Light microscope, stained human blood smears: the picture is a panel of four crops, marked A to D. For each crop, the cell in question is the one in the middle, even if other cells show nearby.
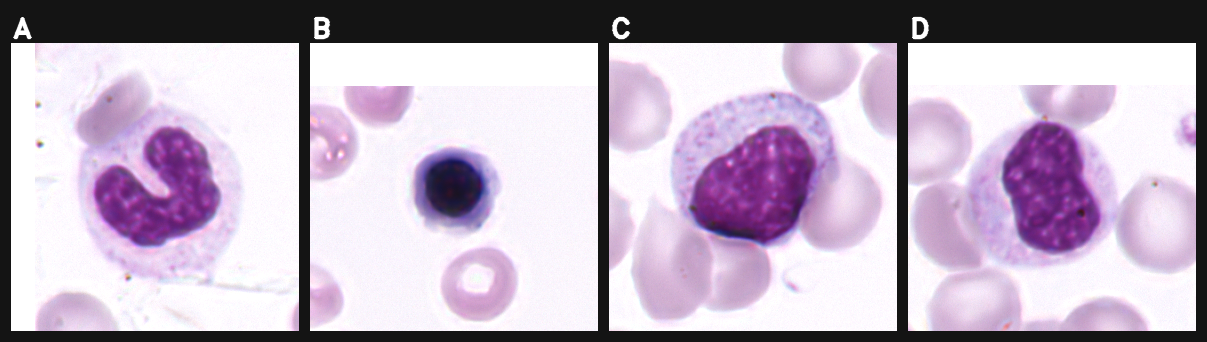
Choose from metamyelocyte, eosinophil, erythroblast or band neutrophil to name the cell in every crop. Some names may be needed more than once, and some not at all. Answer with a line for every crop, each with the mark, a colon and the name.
A: band neutrophil
B: erythroblast
C: metamyelocyte
D: metamyelocyte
